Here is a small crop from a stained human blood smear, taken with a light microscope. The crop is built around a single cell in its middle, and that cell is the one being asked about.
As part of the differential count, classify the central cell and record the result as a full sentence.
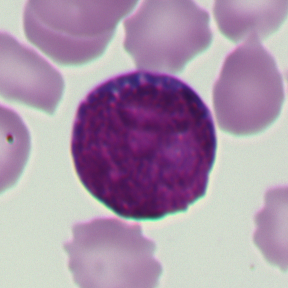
The cell shown in the center of this light-microscope crop is a blast.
